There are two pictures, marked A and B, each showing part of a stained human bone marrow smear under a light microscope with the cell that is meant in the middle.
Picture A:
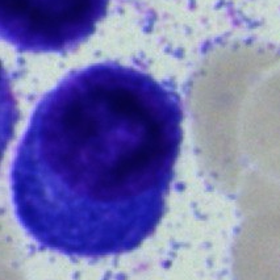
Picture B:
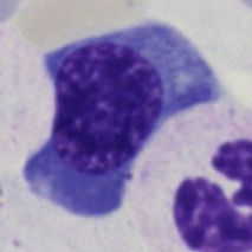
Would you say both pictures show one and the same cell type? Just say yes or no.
no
